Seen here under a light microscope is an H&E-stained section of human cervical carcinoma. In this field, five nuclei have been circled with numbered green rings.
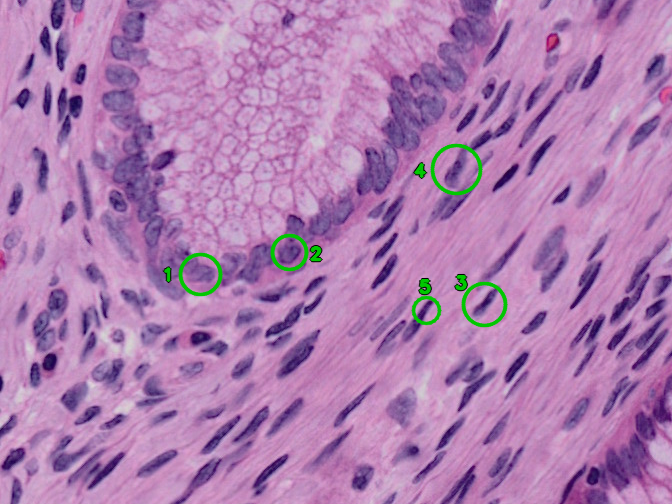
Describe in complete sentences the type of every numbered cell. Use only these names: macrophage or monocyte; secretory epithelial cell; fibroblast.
Cells 1 and 2 are secretory epithelial cells. Cells 3, 4 and 5 are fibroblasts.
